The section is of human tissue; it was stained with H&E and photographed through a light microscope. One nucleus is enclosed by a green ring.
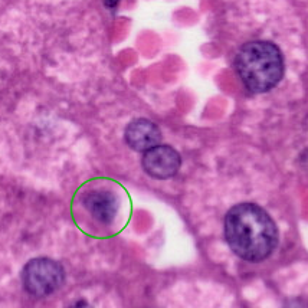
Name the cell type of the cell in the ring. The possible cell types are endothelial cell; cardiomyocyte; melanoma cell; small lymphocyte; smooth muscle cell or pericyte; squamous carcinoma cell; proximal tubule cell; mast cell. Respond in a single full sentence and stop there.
Within the stained tissue, the cell in the ring is an endothelial cell.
